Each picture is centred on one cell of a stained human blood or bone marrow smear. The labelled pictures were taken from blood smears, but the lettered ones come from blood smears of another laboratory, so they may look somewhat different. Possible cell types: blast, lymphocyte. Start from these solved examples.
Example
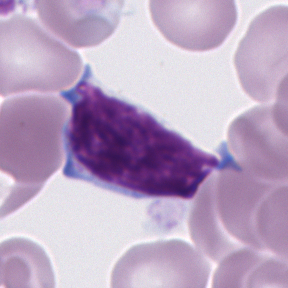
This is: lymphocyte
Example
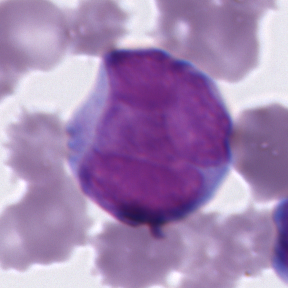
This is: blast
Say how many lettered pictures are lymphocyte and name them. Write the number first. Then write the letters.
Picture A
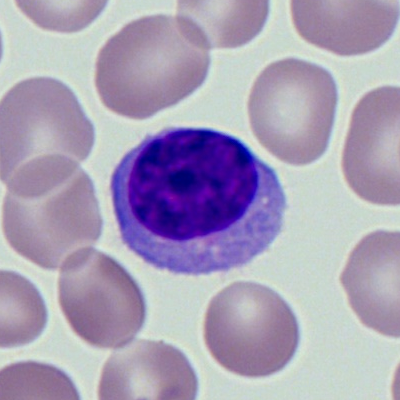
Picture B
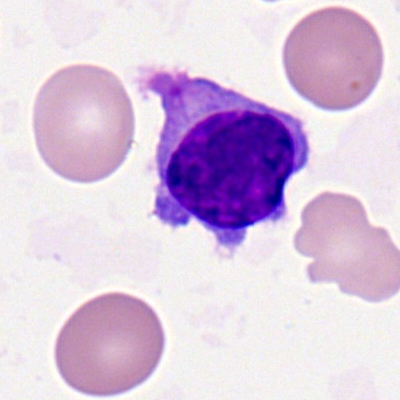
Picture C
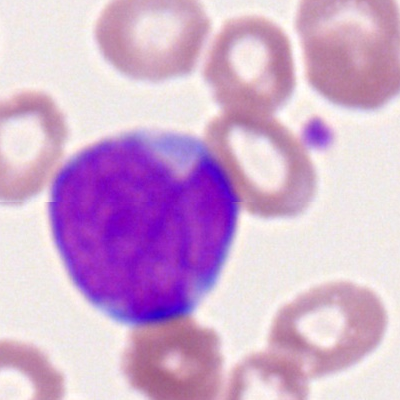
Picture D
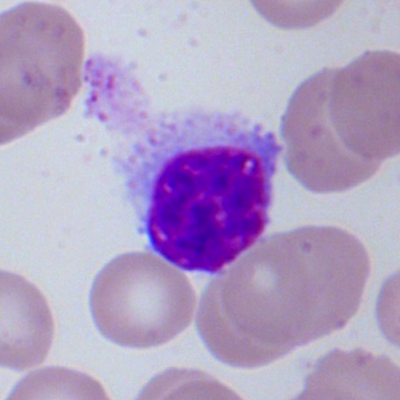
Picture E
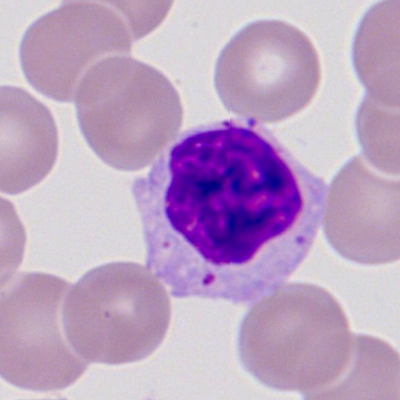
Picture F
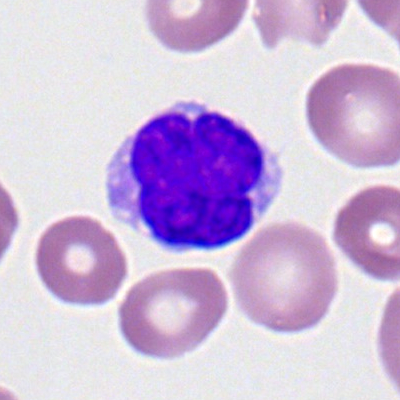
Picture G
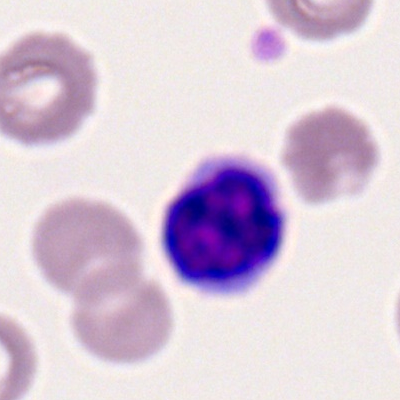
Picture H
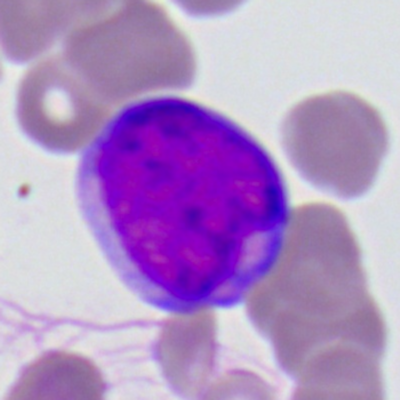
Count: 6 (A, B, D, E, F, G)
